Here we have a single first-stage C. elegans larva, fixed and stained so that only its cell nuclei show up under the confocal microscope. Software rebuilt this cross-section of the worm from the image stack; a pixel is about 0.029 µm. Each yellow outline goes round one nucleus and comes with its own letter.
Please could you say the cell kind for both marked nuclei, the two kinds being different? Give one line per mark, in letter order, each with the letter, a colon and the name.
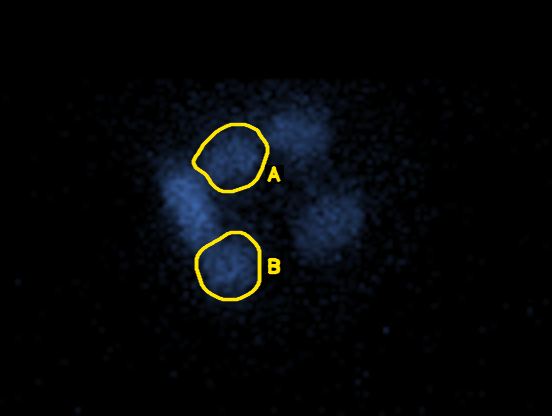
A: body wall muscle cell
B: seam cell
